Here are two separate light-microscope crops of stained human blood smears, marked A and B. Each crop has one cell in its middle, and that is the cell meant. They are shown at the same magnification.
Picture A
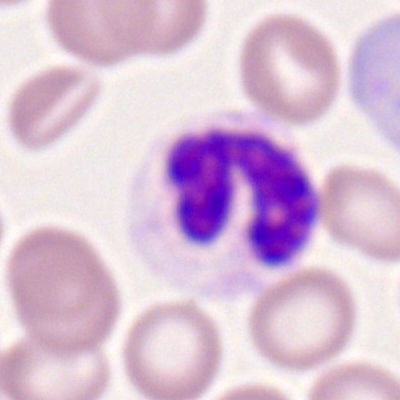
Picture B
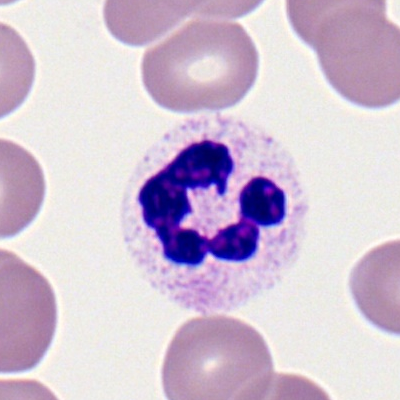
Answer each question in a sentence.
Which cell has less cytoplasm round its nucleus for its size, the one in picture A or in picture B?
The nucleus fills more of the cell in picture A than in picture B.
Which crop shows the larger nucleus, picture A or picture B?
It is the nucleus in picture B, about 2.5 times as large in area as the one in picture A.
